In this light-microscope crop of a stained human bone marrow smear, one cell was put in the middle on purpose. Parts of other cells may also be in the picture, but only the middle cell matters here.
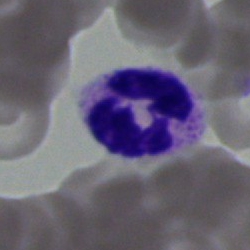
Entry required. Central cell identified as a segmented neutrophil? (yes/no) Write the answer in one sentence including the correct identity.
Yes, the cell lying in the centre of the crop is identified as a segmented neutrophil.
